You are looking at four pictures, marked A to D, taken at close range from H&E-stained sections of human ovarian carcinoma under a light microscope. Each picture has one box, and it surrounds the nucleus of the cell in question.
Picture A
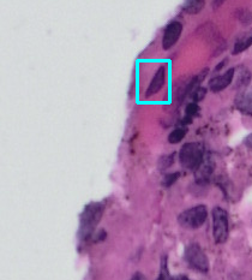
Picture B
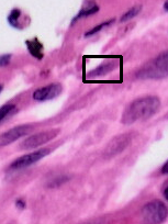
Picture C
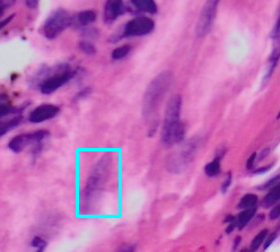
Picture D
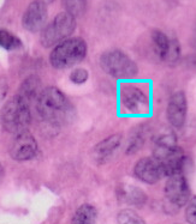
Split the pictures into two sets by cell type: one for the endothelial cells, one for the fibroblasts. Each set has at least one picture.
A: endothelial cell
B: fibroblast
C: fibroblast
D: endothelial cell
